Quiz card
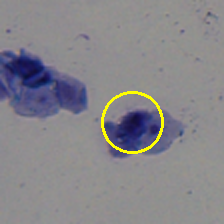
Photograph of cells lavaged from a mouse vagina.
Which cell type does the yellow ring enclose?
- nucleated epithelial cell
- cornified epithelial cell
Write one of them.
nucleated epithelial cell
